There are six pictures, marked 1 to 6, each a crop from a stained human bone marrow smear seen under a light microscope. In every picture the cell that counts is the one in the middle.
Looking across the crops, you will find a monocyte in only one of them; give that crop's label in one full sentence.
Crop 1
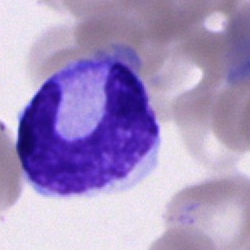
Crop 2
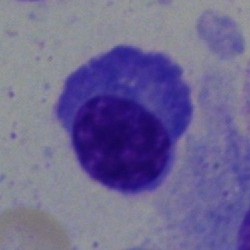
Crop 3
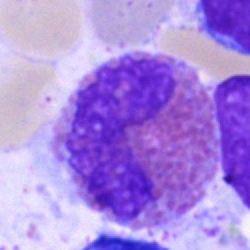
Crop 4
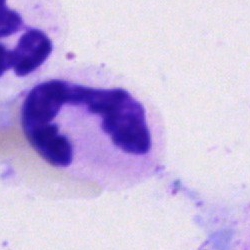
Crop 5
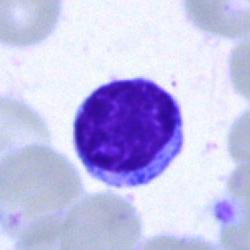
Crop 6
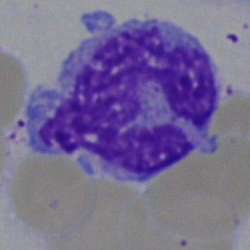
The sole crop showing a monocyte is crop 6.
